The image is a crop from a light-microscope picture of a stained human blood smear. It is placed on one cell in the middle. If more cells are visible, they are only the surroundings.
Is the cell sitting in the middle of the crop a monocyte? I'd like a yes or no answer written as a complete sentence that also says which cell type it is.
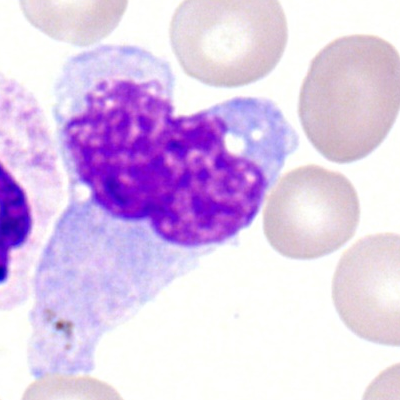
Yes, the cell in the exact middle is a monocyte.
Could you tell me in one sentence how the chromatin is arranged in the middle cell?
What stands out is fine chromatin lacking any coarse clumps.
